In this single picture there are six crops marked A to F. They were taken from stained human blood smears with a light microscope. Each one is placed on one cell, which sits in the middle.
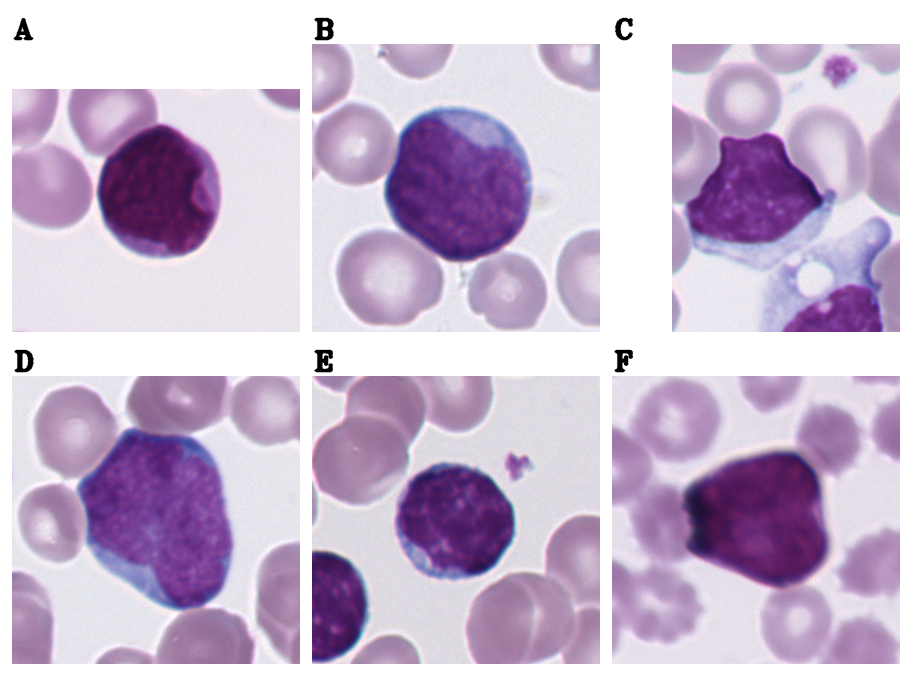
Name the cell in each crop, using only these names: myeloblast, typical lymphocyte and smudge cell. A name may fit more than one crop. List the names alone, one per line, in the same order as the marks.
myeloblast
myeloblast
typical lymphocyte
myeloblast
typical lymphocyte
myeloblast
